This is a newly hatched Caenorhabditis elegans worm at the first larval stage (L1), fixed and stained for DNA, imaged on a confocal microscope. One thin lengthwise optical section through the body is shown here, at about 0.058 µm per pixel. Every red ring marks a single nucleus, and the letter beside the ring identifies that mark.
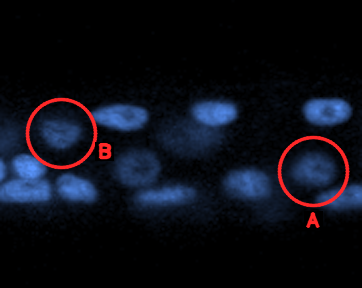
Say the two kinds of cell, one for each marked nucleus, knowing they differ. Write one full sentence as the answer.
A belongs to a seam cell and B to an intestinal cell.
